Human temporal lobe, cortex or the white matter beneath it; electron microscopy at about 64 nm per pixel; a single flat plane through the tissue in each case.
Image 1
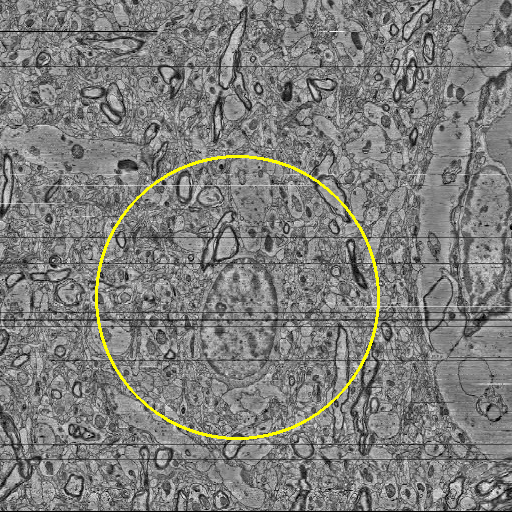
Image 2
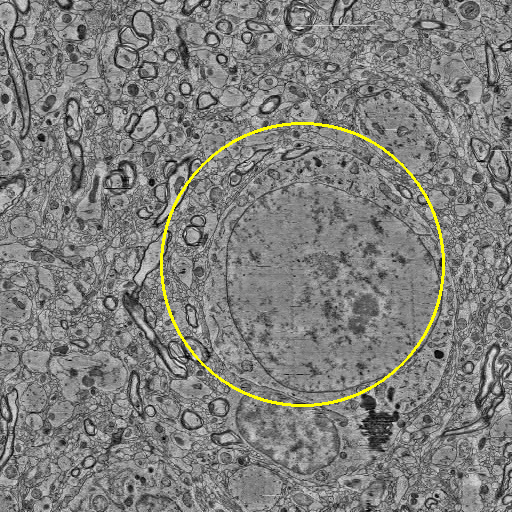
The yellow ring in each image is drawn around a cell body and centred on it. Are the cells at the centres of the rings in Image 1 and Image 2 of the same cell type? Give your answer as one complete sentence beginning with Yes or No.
No, the two cells are of two separate types.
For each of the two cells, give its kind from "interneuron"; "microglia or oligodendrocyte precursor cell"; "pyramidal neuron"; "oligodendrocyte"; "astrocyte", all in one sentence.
The first picture has an oligodendrocyte in its ring, the second has a pyramidal neuron.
